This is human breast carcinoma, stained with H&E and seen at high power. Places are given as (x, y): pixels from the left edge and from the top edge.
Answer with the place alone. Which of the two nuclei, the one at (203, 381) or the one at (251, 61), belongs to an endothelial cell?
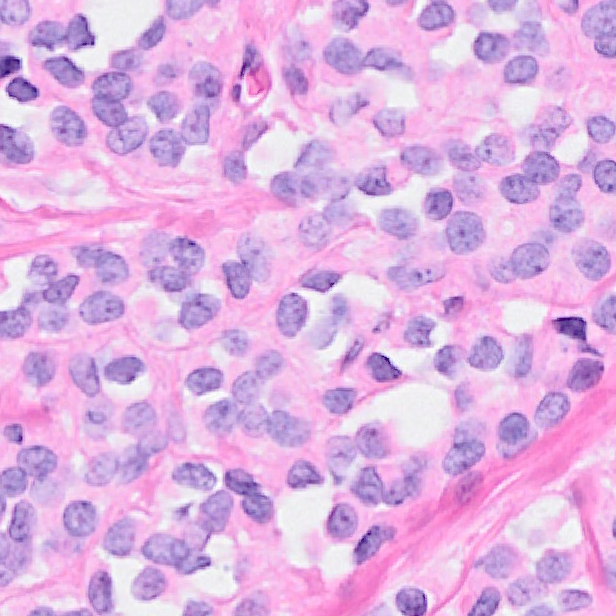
(251, 61)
